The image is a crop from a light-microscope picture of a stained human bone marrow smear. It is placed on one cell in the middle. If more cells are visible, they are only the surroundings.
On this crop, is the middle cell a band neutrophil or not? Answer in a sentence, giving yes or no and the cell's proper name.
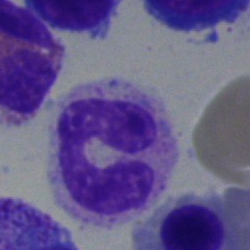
Yes, the cell under consideration, the one in the middle, is a band neutrophil.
